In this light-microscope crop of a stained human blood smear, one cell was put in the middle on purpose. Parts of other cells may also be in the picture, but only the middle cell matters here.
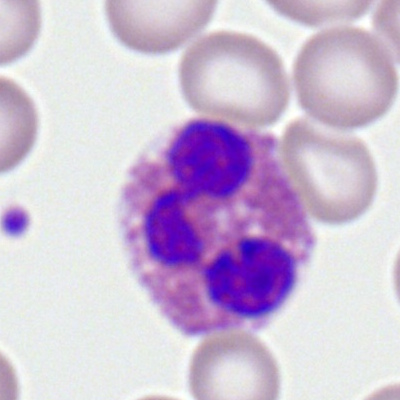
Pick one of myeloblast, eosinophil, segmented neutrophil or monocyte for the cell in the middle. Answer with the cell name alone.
eosinophil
